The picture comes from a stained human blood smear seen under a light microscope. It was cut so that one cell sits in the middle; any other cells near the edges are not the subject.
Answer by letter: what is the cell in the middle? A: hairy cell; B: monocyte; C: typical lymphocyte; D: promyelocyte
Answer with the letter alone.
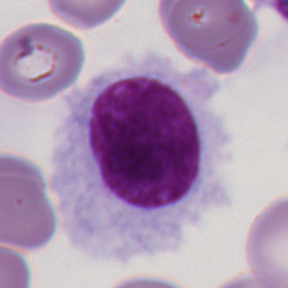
A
